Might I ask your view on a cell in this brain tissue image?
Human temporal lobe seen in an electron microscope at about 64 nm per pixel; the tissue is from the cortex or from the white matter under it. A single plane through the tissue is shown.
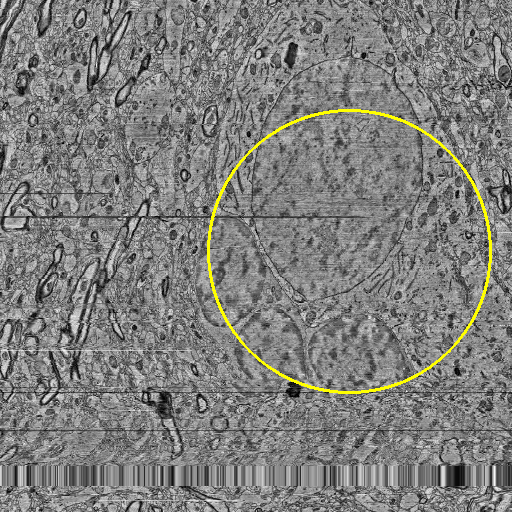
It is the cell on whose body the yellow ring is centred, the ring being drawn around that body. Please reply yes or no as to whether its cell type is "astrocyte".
no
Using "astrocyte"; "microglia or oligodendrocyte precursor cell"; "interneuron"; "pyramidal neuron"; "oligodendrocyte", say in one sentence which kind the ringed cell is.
Instead, the ringed cell here is a pyramidal neuron.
